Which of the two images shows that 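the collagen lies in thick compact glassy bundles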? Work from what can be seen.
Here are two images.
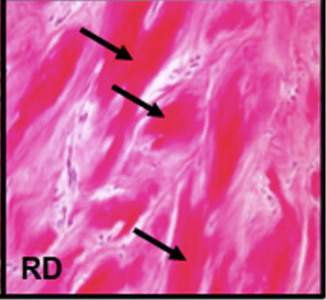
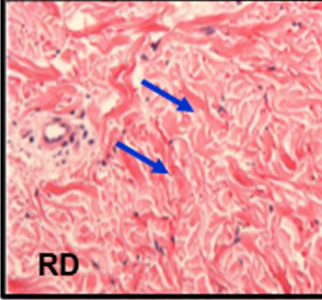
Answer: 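The first image. First image: broad, homogeneous, bright pink bands packed closely together. Second image: thin, wavy pink fibres with pale spaces between them.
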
